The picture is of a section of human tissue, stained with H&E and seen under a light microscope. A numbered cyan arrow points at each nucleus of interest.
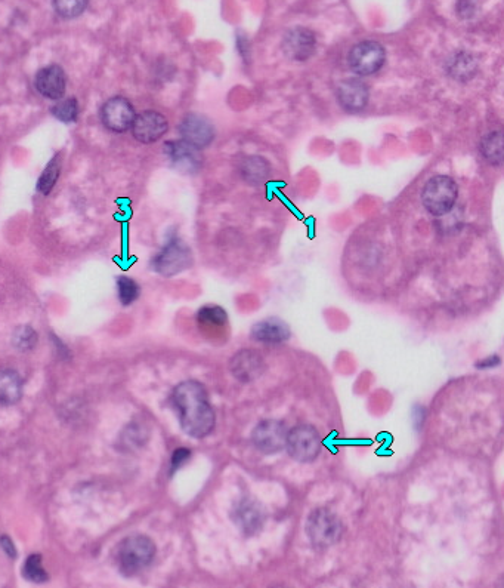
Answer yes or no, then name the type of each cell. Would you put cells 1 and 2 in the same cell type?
Yes, cell 1 is counted among the hepatocytes, as is cell 2.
